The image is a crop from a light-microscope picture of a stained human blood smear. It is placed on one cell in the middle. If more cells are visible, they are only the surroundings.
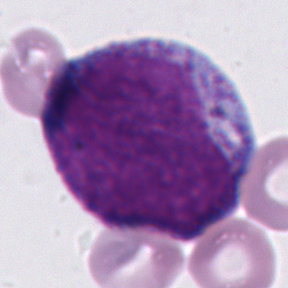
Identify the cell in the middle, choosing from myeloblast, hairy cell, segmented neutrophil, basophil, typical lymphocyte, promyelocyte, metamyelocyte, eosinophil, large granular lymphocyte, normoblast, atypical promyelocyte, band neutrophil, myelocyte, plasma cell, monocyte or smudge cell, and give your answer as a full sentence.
Whatever else lies nearby, the middle cell is a promyelocyte.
